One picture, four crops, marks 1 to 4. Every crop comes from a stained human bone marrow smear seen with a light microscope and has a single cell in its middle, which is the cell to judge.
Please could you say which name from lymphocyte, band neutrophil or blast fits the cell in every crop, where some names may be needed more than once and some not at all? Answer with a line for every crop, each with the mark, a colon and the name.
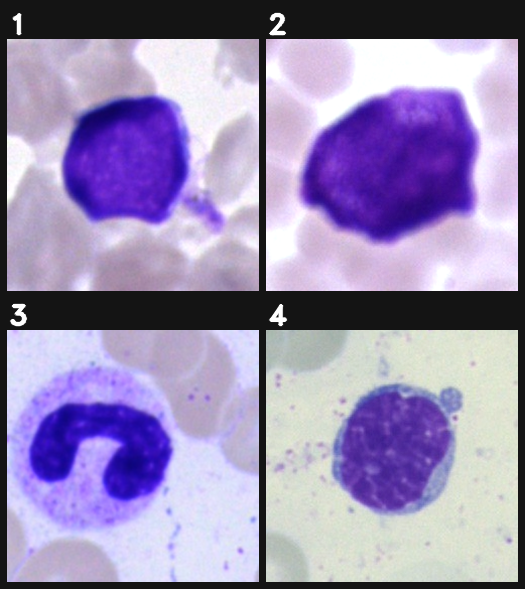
1: blast
2: blast
3: band neutrophil
4: lymphocyte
